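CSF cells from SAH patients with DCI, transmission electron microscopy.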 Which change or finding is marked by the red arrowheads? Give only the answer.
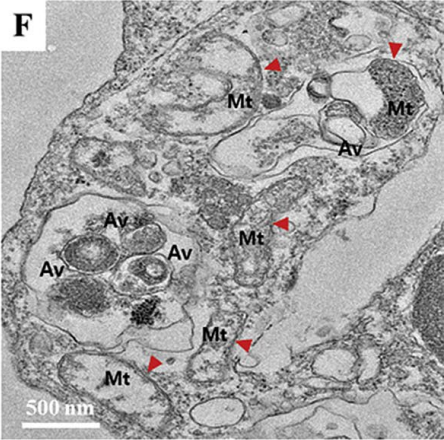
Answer: Matrix swelling and collapsed cristae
